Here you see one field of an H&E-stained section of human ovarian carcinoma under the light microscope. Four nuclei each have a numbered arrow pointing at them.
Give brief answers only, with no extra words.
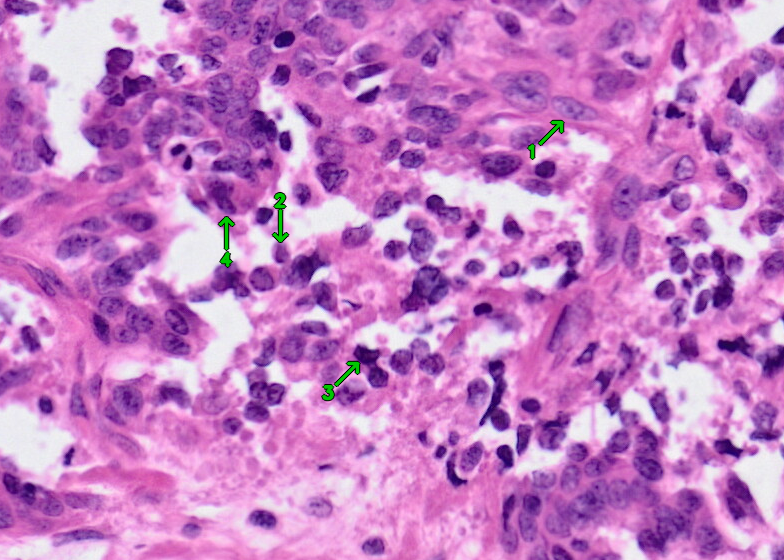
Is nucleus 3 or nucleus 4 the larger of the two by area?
3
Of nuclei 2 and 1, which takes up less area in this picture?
2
